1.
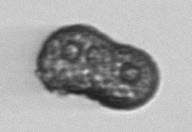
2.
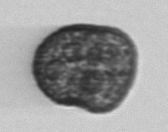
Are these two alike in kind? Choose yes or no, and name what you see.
Yes. Umbilicosphaera sibogae.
